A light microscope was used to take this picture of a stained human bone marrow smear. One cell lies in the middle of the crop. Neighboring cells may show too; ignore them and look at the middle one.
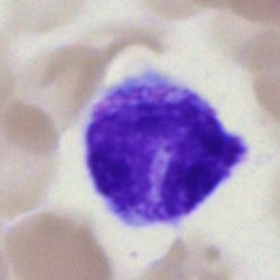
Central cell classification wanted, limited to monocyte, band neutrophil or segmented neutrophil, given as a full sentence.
The cell occupying the middle of the crop is a monocyte.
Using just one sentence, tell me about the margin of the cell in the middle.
In outline, the cell is irregular, ragged in stretches or drawn into projections.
